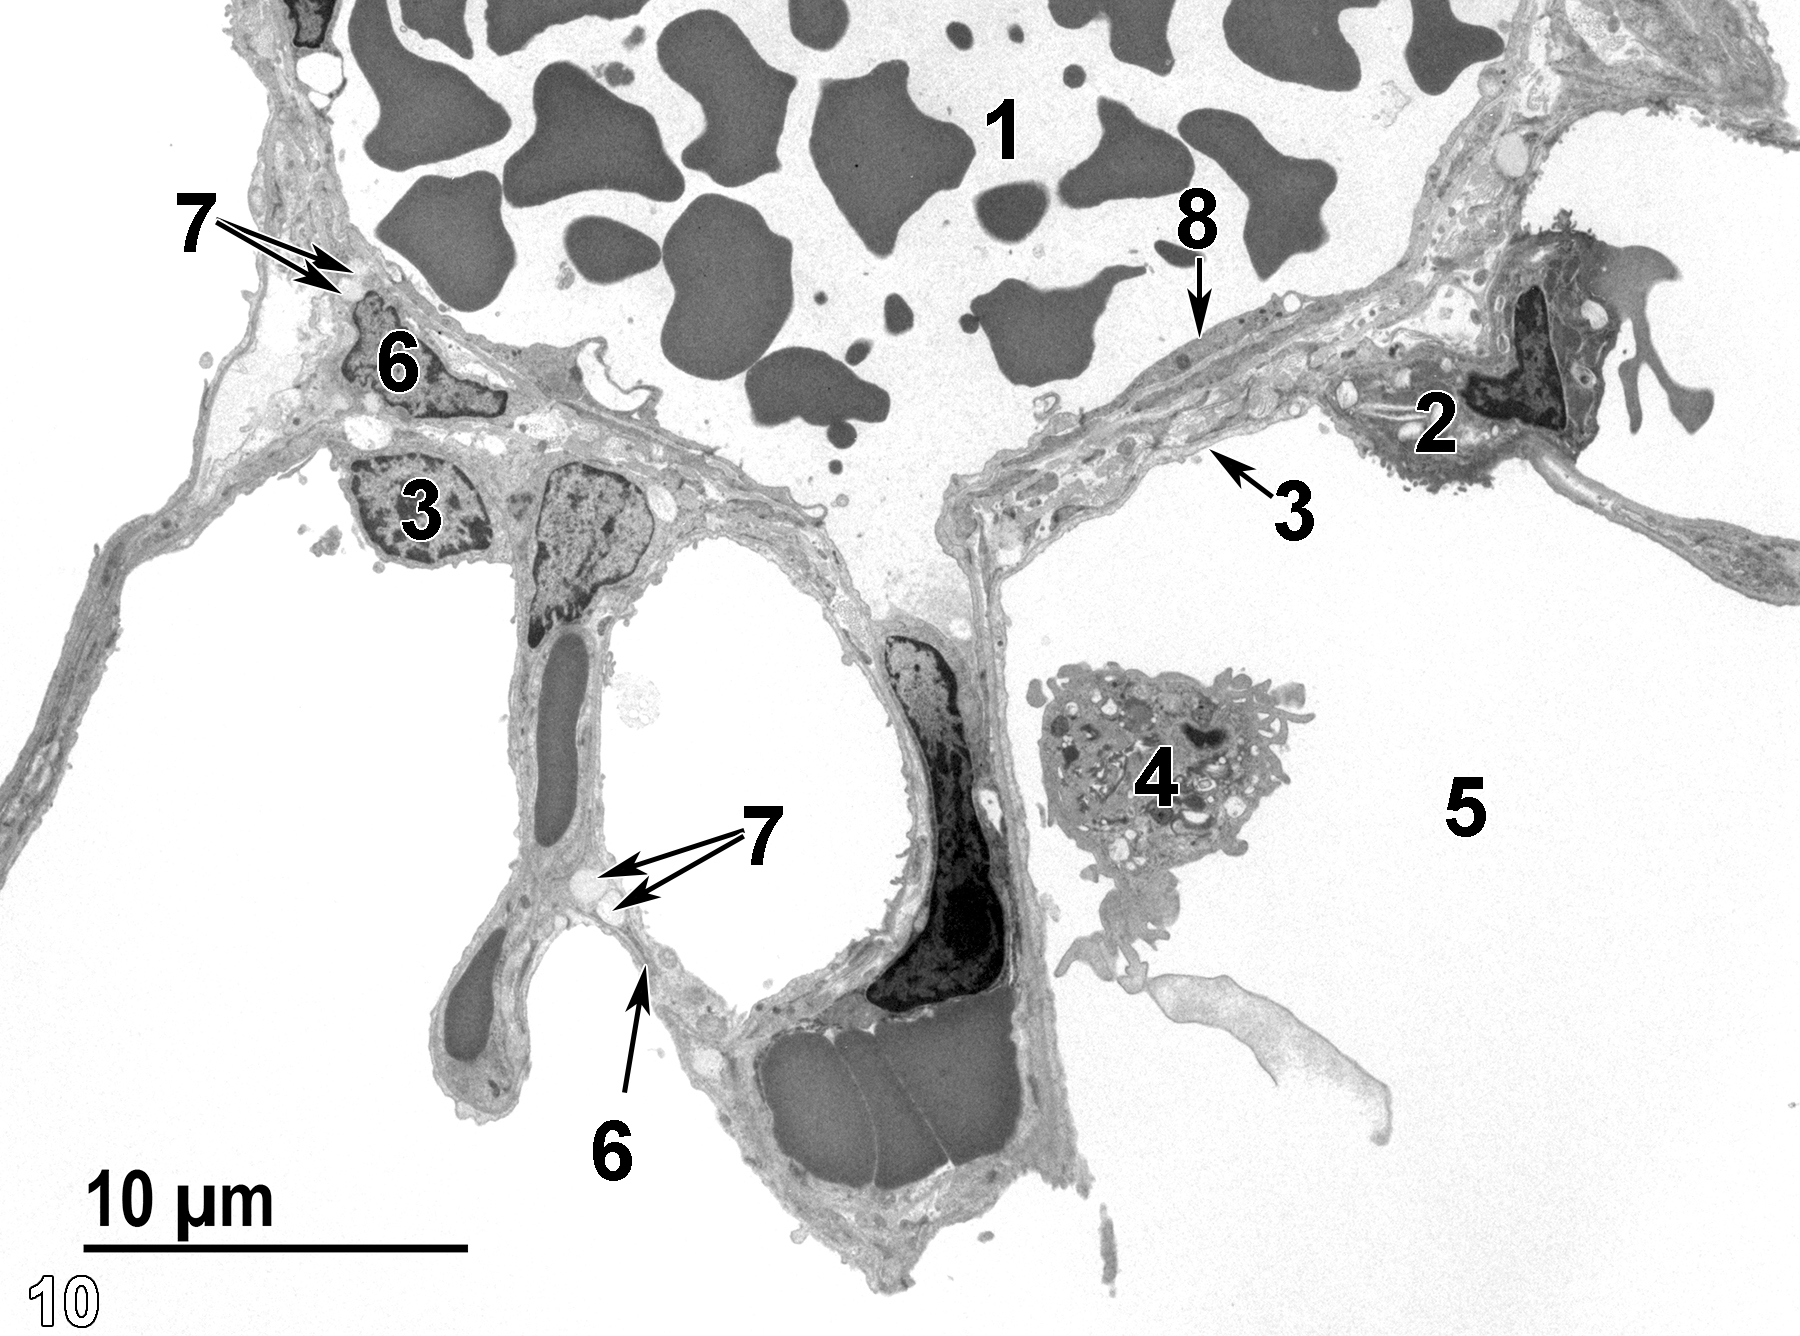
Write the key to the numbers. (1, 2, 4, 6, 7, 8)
1 - blood vessel
2 - type II cell
4 - pulmonary macrophage
6 - lipofibroblasts
7 - lipid bodies
8 - endothelial cells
